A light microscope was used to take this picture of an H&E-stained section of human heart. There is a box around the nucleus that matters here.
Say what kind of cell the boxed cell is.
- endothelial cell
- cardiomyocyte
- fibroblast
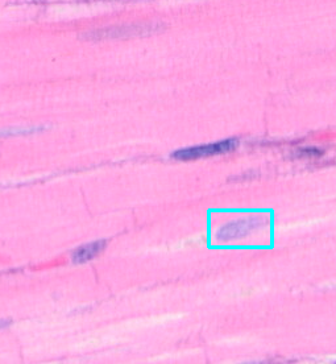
cardiomyocyte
